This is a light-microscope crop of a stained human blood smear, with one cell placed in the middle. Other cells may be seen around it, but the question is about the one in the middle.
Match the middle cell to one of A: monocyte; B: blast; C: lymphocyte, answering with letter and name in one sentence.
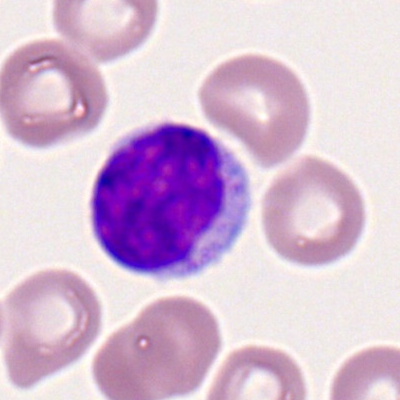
With the cell in the middle being a lymphocyte, option C is the correct choice.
